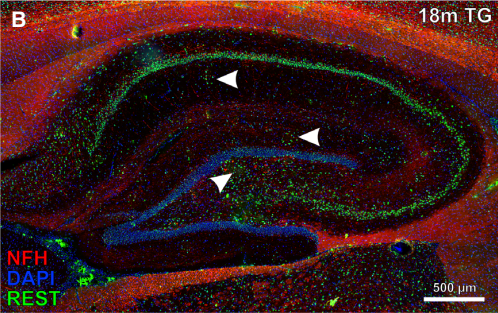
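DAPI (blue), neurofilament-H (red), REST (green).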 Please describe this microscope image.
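Low-magnification view of the hippocampus with its curved cell layers. A green-speckled band of cells arches across the section, bordered above by red fibre-rich tissue. A compact, bright blue V-shaped blade of packed nuclei lies within the curve. Small bright green clusters are scattered at the lower edge of the section.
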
